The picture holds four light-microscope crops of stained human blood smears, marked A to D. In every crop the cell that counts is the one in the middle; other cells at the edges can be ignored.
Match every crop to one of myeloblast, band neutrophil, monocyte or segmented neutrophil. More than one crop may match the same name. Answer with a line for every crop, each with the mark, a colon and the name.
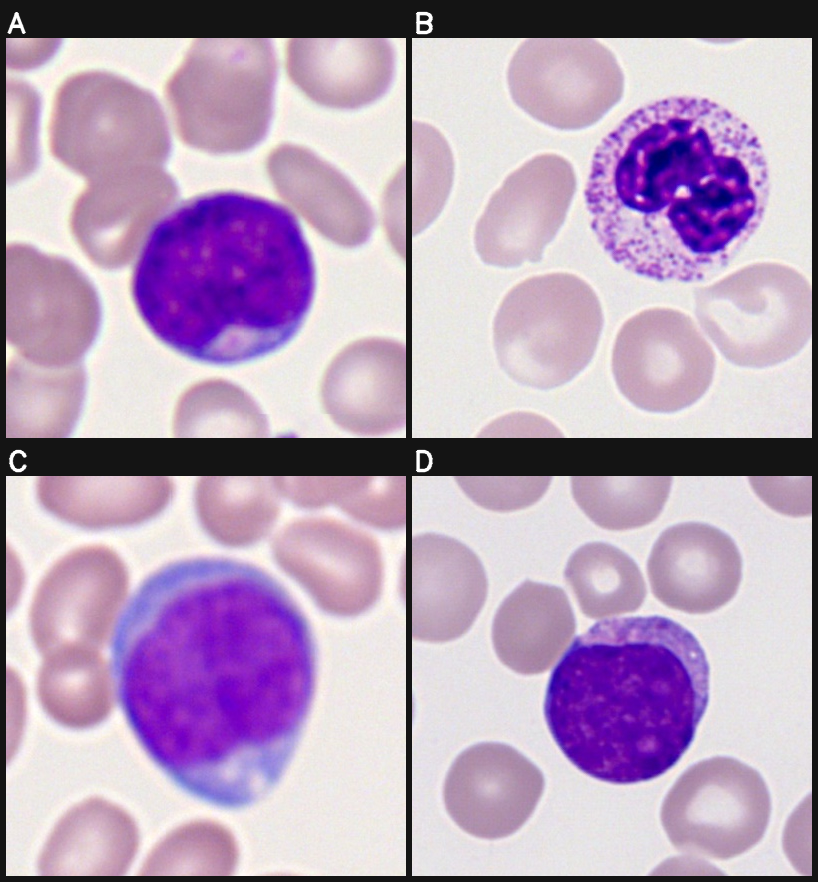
A: myeloblast
B: segmented neutrophil
C: myeloblast
D: myeloblast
